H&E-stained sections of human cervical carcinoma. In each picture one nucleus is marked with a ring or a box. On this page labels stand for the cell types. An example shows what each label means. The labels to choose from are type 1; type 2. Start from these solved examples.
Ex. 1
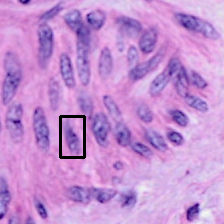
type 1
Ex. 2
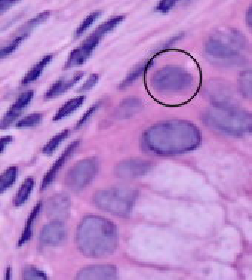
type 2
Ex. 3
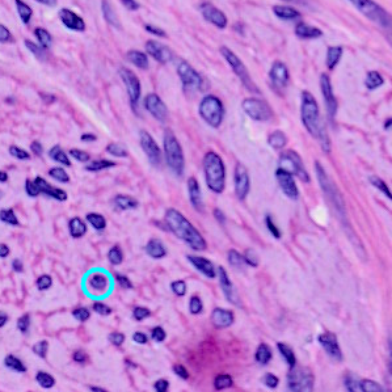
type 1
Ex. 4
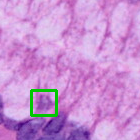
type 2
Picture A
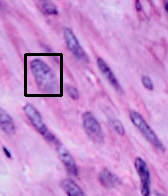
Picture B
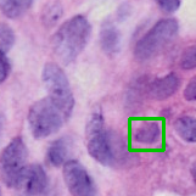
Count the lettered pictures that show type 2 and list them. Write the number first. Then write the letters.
1: B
